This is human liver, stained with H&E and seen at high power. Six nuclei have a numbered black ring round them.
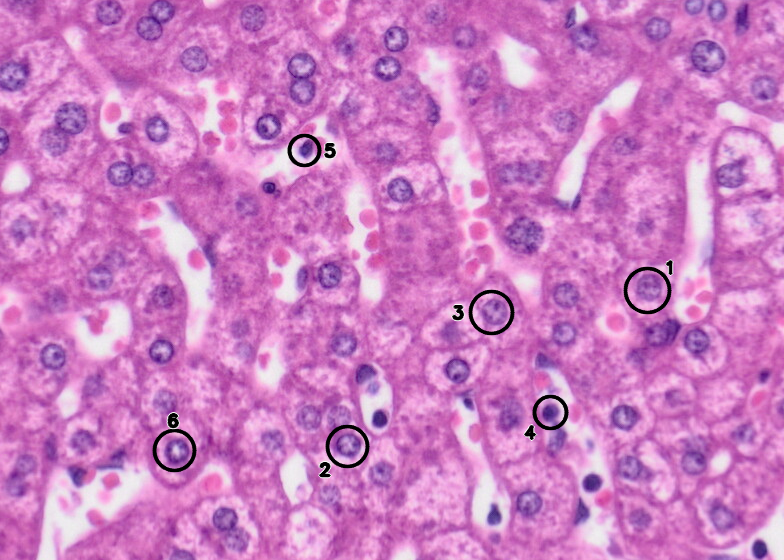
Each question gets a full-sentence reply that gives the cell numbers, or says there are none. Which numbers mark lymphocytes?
The cells carrying labels 4 and 5 are lymphocytes.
